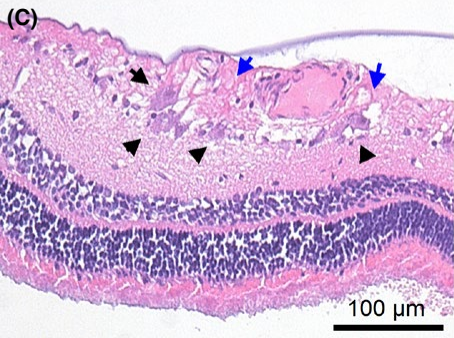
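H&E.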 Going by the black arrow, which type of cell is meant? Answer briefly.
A: Retinal ganglion cells.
